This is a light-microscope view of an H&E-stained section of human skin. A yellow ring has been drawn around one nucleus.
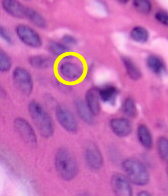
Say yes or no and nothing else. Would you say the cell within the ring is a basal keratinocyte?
yes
